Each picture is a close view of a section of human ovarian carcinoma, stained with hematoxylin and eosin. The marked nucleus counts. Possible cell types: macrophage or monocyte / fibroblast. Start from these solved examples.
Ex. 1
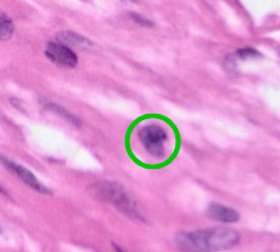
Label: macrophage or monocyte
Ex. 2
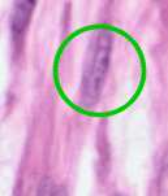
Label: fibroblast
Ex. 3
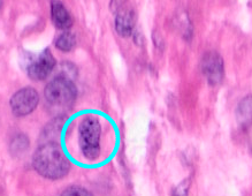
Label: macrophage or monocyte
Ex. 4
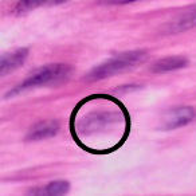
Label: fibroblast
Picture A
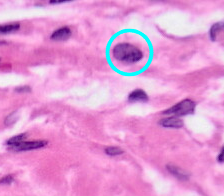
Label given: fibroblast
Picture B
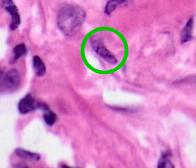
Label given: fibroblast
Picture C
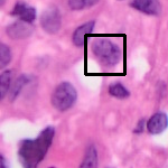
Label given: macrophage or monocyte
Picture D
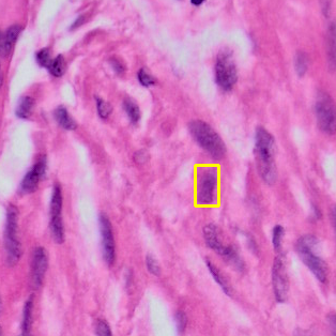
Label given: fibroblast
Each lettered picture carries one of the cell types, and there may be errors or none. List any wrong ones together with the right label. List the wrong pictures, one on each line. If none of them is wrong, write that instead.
A: macrophage or monocyte, not fibroblast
